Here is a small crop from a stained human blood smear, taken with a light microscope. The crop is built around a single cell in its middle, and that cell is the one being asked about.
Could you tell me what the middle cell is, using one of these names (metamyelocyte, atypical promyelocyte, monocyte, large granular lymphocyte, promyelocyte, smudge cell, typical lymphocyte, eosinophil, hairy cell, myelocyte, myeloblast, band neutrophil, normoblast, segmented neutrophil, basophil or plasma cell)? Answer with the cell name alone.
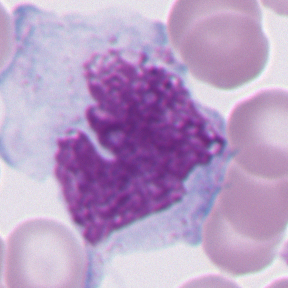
monocyte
